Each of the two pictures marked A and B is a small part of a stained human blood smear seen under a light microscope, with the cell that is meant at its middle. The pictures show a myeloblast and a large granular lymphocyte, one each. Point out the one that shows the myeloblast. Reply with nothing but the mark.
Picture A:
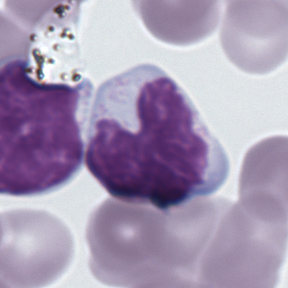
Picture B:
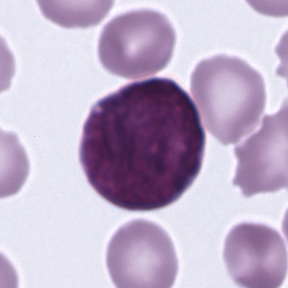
B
